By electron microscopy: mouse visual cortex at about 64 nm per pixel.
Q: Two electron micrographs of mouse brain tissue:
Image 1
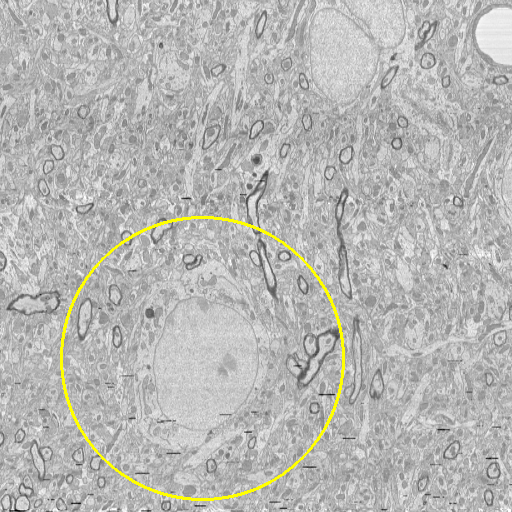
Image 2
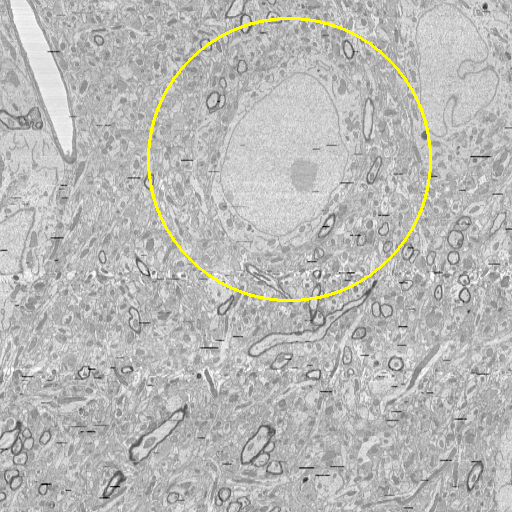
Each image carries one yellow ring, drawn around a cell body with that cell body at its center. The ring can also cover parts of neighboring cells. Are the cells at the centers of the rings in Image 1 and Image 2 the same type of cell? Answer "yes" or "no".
yes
